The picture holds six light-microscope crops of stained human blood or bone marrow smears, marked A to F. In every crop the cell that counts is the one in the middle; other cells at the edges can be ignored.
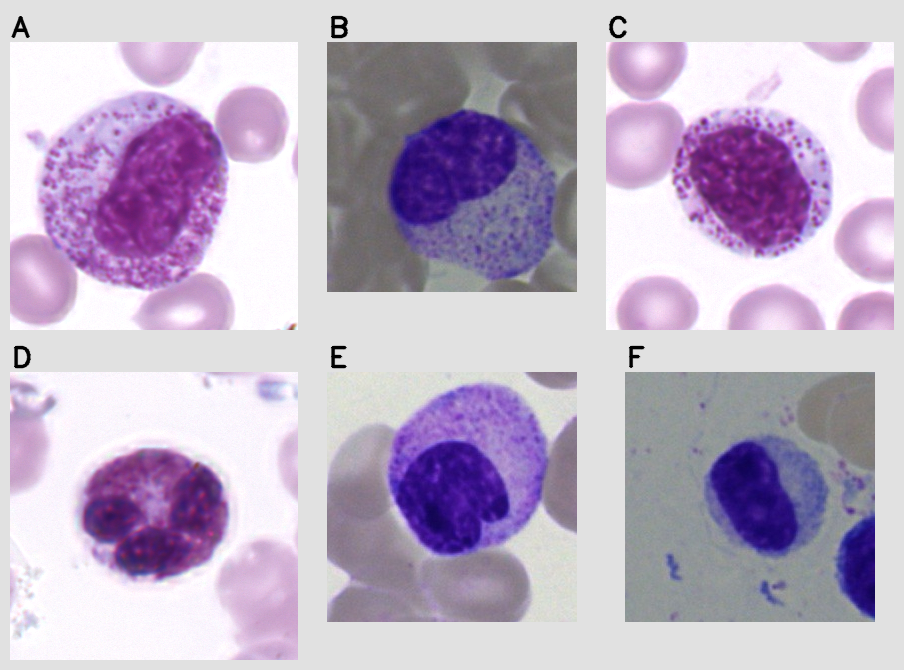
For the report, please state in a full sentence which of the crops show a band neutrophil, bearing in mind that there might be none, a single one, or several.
Within the crops, the central cell is never a band neutrophil.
